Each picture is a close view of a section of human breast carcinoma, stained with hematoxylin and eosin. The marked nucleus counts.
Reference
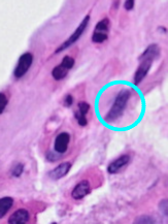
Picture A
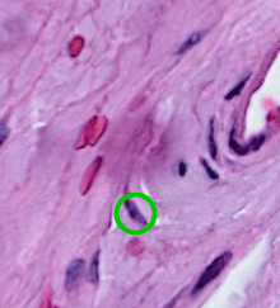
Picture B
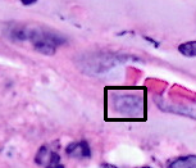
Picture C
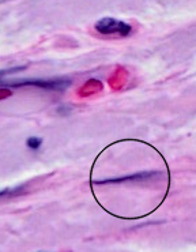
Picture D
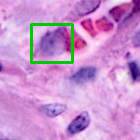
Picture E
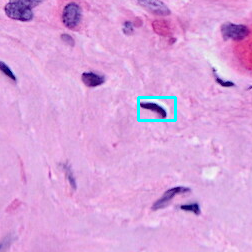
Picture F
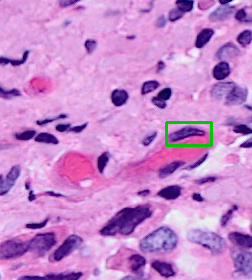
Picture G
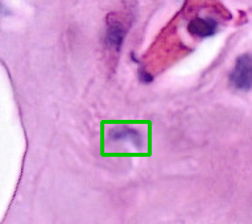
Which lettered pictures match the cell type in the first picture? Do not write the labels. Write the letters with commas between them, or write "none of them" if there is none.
A, C, E, G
